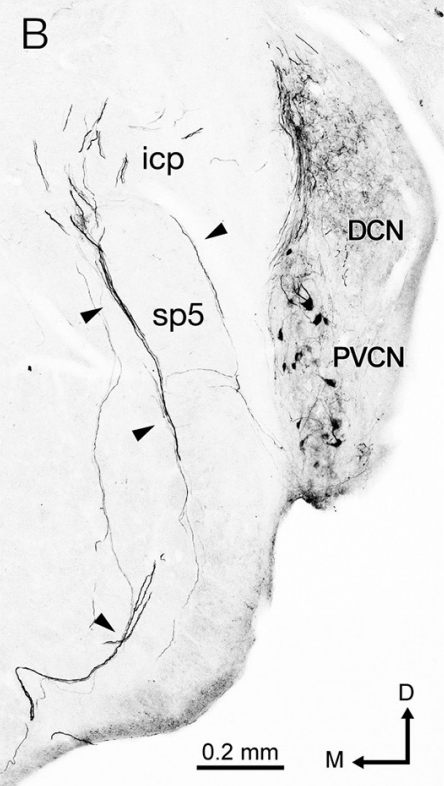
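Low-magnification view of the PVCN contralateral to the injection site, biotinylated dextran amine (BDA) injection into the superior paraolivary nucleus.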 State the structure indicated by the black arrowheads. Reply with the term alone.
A: Axons of octopus cells.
